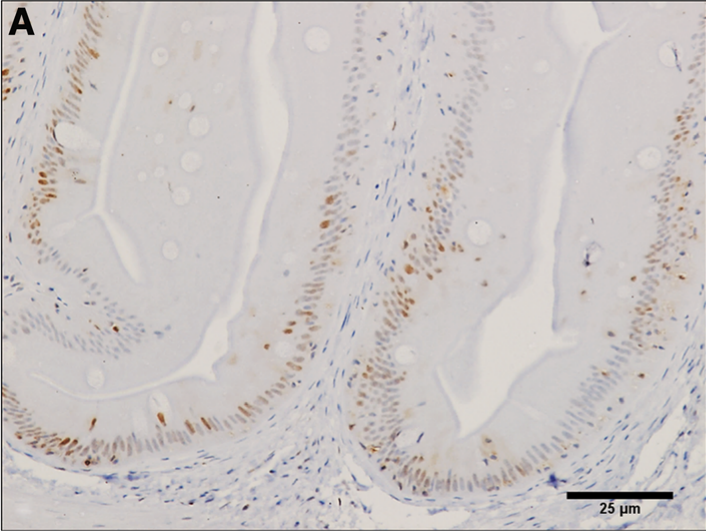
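Intestinal folds lined by tall simple columnar epithelium of enterocytes resting on thin cores of connective tissue. The underlying connective tissue holds small spindle-shaped blue nuclei.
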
